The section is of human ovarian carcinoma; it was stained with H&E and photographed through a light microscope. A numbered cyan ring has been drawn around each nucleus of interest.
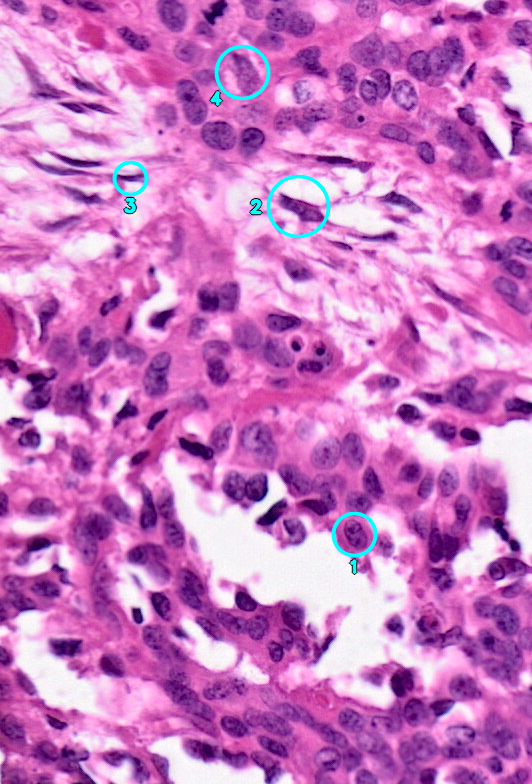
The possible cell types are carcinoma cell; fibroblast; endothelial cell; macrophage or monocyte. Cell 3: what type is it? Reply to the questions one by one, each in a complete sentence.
The numbered cell 3 in this field is a fibroblast.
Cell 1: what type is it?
The cell that carries the label 1 is a macrophage or monocyte.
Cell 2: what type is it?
In this section, the cell numbered 2 is a fibroblast.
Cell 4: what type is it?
Looking at the numbered marks, cell 4 is a carcinoma cell.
